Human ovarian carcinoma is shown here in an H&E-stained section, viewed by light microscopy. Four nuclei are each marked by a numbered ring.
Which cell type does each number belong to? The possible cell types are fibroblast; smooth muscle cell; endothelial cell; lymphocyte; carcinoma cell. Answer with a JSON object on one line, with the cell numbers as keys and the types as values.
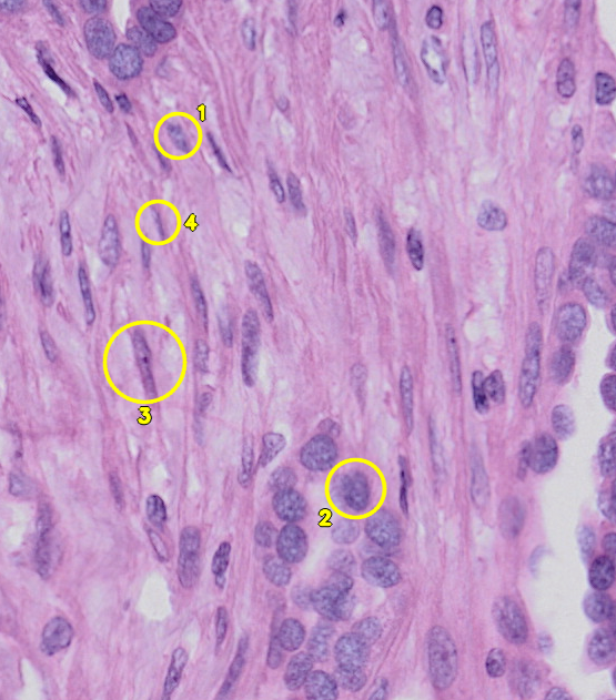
{"1": "fibroblast", "2": "carcinoma cell", "3": "fibroblast", "4": "fibroblast"}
